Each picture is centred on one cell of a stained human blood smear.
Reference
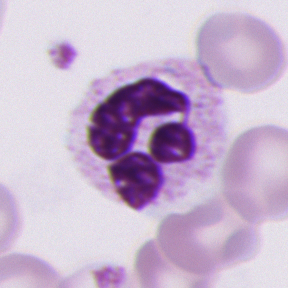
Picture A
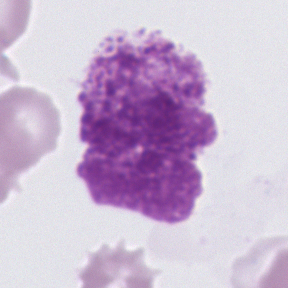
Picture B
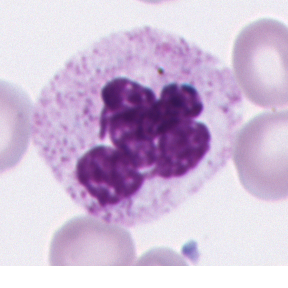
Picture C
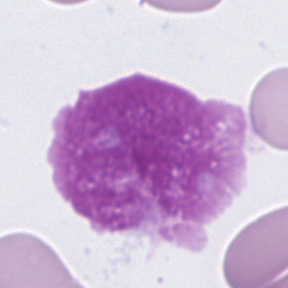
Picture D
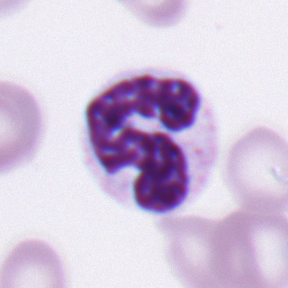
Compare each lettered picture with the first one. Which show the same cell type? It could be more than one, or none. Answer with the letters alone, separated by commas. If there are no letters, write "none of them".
B, D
